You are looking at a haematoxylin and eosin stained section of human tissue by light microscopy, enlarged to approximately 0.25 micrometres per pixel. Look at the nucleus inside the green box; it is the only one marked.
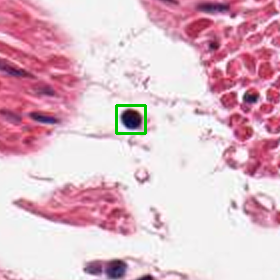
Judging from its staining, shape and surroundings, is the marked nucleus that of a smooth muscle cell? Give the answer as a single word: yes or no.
no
